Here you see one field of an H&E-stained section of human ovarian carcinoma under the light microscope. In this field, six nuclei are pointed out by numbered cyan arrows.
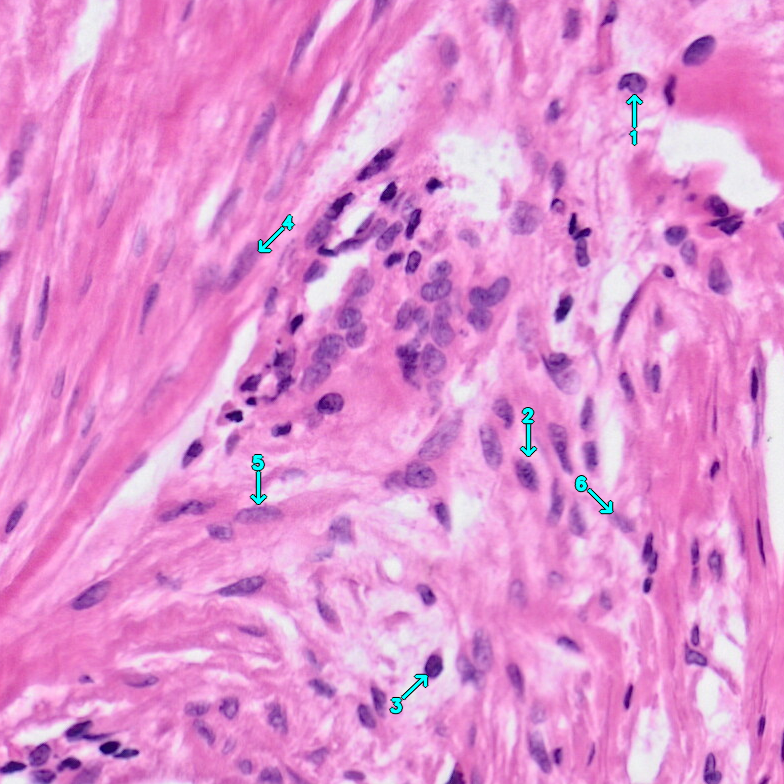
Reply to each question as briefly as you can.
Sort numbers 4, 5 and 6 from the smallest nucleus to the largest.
6, 5, 4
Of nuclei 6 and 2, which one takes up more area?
2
